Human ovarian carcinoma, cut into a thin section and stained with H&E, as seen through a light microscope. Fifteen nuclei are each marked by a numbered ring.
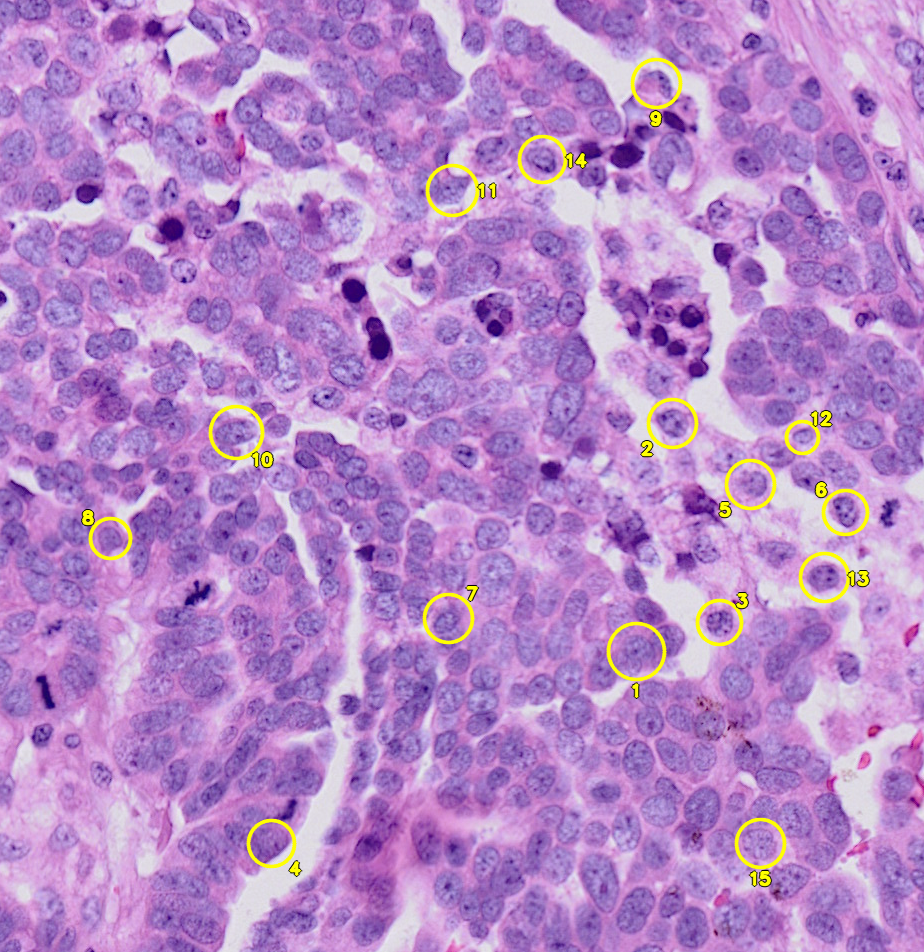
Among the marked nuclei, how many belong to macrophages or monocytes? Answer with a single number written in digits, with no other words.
8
